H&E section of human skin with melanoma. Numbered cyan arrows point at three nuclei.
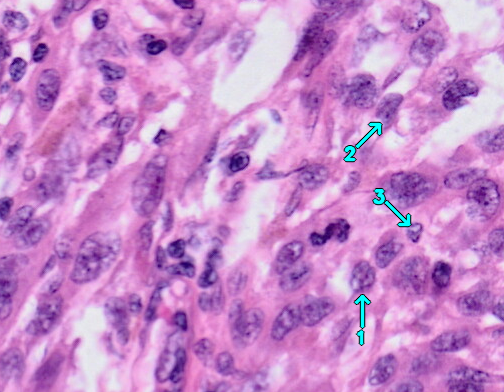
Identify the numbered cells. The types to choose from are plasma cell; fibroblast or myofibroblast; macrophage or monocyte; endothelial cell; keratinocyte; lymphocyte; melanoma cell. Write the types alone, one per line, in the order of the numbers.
melanoma cell
melanoma cell
lymphocyte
